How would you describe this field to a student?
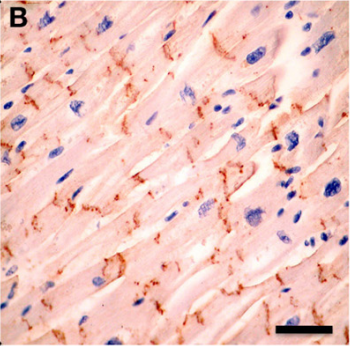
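Heart muscle cells are seen as long pink fibres running in parallel, each with an oval blue nucleus lying centrally. Brown stained dotted lines cross the fibres at the points where neighbouring cells meet end to end, marking the intercalated discs.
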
